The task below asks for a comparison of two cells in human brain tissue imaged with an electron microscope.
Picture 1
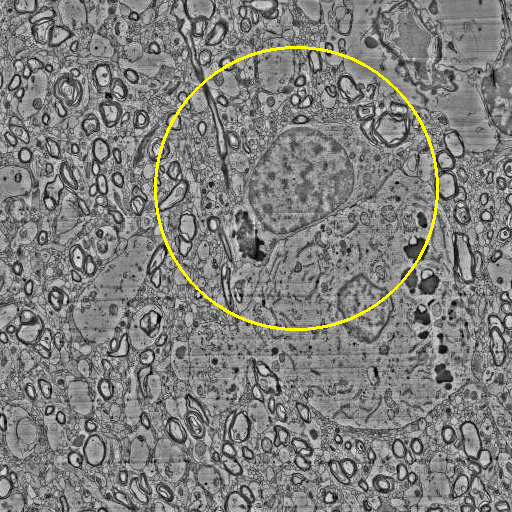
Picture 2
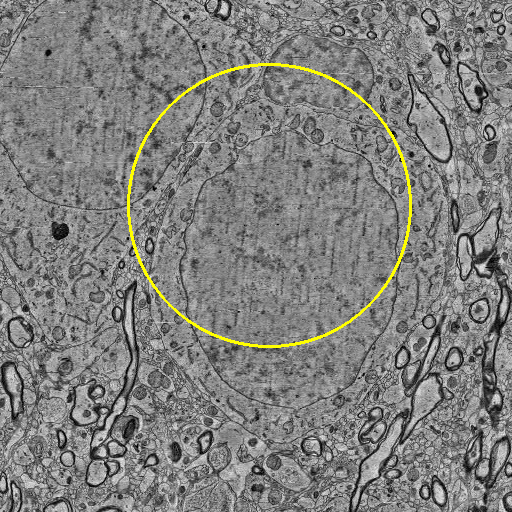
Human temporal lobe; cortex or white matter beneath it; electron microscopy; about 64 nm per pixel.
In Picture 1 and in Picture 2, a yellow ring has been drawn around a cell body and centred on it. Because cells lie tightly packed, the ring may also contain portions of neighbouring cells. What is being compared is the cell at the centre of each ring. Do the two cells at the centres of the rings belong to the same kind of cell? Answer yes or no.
no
